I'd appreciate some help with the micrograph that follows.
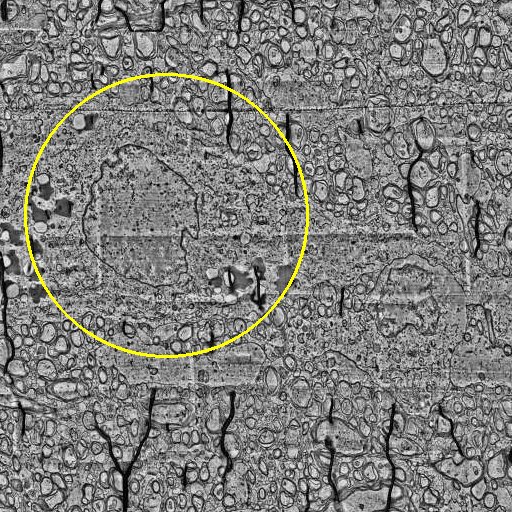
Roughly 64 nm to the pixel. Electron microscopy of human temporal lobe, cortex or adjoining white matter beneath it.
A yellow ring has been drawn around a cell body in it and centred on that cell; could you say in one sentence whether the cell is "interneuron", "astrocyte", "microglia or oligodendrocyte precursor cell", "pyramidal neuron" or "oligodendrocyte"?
It is a pyramidal neuron at the centre of the ring.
